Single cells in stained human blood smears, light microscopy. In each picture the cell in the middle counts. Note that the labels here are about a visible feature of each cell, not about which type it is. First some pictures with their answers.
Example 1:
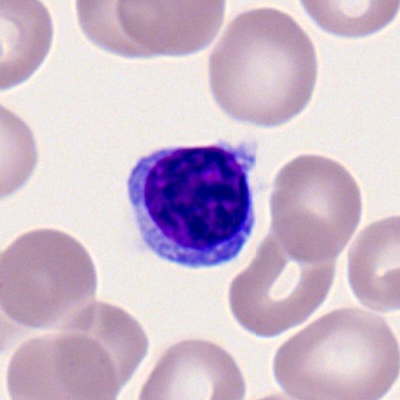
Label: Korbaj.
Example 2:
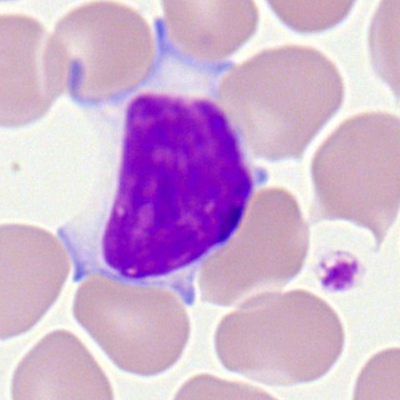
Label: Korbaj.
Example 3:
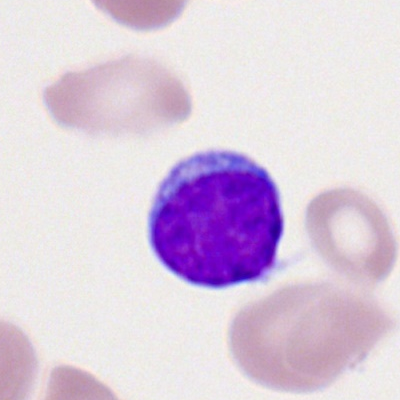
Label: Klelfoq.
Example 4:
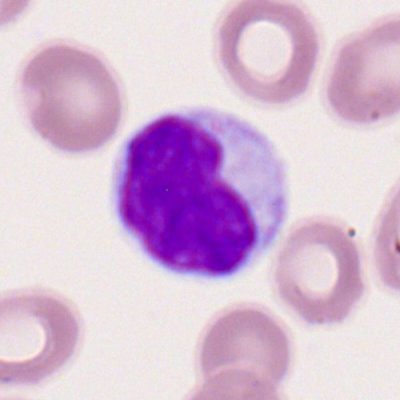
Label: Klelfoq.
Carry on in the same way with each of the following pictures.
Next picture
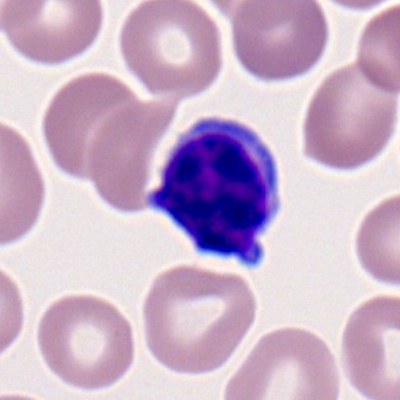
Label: Korbaj.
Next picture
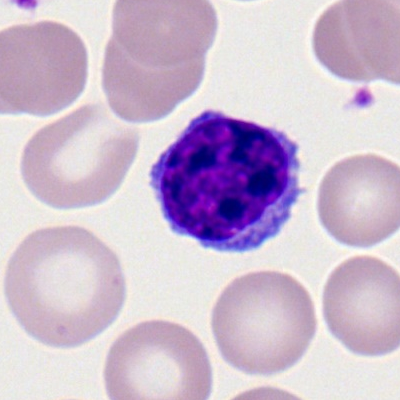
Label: Korbaj.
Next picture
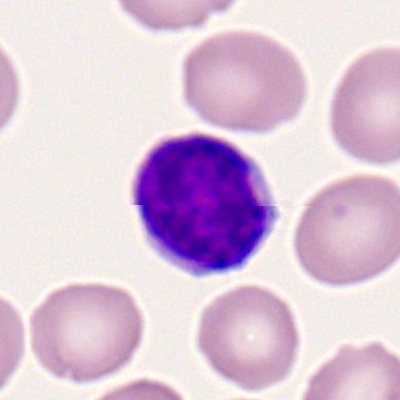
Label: Klelfoq.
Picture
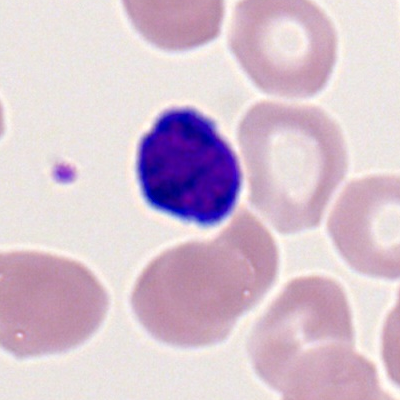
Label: Klelfoq.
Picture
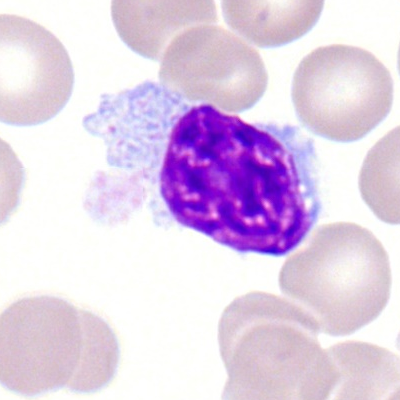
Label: Korbaj.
